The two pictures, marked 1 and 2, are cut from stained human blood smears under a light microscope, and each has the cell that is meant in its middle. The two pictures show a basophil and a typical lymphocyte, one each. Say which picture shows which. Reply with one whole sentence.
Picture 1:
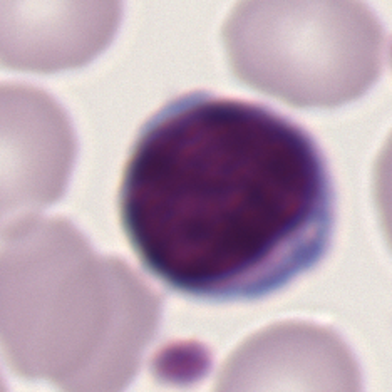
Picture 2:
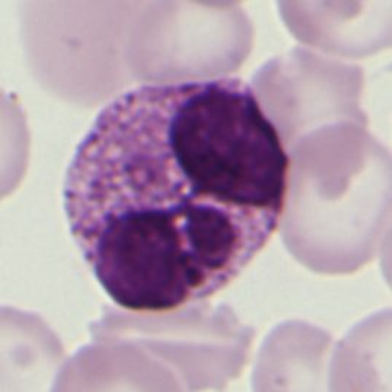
It is picture 1 that shows a typical lymphocyte, and picture 2 that shows a basophil.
